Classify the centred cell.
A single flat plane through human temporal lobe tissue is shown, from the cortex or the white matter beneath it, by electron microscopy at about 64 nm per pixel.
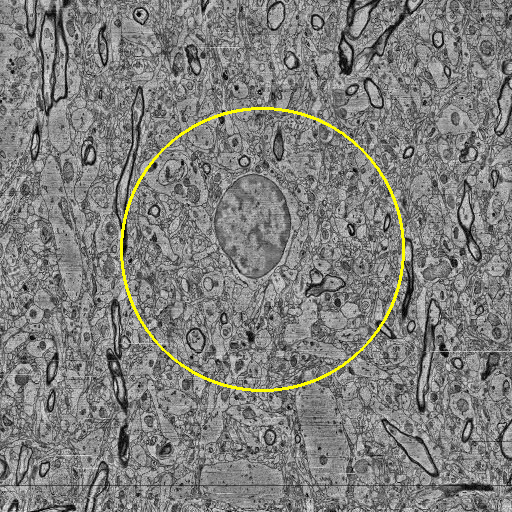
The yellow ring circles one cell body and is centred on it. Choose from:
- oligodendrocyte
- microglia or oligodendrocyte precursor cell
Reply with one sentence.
The ring is centred on a microglial cell or oligodendrocyte precursor cell.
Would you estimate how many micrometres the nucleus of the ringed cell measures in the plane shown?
The nucleus comes to roughly 7 by 5 micrometres in this plane.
